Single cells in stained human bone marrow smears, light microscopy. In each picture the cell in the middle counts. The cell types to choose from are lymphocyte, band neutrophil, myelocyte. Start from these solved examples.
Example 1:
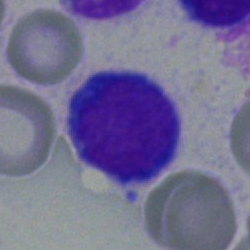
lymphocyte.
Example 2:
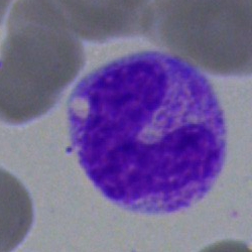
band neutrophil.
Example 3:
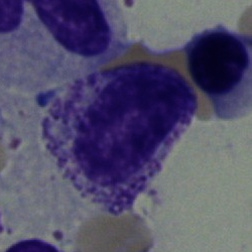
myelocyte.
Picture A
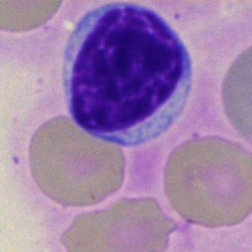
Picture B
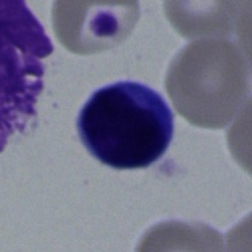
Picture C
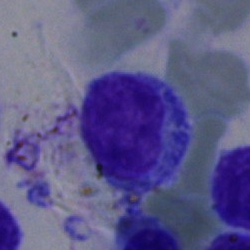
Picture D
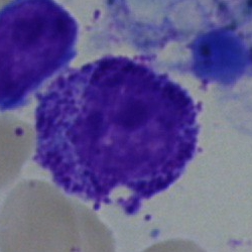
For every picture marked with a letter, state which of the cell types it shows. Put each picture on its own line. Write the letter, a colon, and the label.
A: lymphocyte.
B: lymphocyte.
C: lymphocyte.
D: myelocyte.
